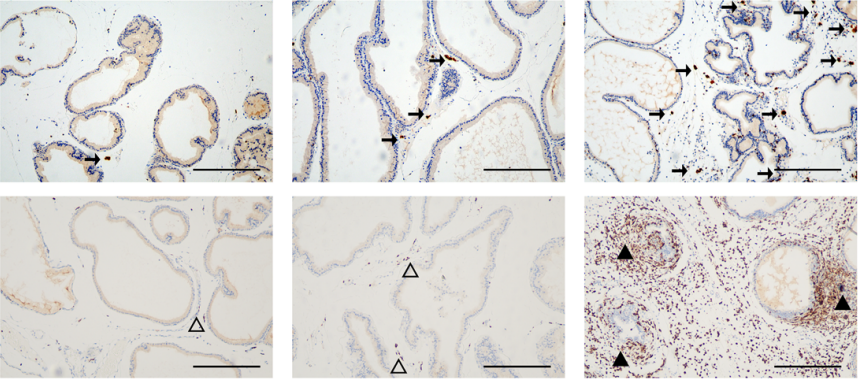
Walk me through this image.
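Small brown-stained cells lie singly in the stroma beside the epithelium, sparse in the left images and more numerous in the upper right. In the lower right image the stroma around the glands is packed with a dense infiltrate of brown-stained cells.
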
